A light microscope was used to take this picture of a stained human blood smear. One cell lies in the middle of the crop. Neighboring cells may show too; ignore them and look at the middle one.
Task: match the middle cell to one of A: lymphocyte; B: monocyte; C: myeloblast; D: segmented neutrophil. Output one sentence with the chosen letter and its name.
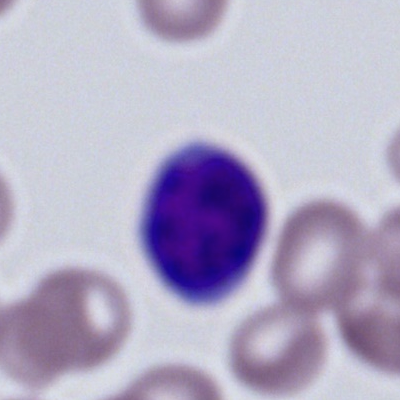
The cell at the centre, correctly named in option A, is a lymphocyte.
